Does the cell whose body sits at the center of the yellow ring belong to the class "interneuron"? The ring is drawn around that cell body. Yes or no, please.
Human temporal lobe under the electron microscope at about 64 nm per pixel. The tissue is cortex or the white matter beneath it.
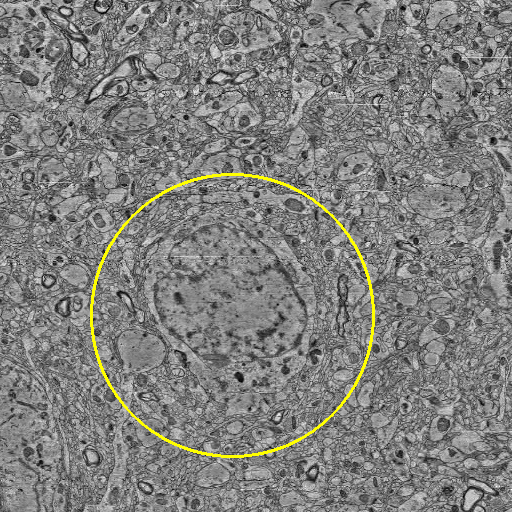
Yes, it belongs to that class.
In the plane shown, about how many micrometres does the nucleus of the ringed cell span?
In this plane, the nucleus of the cell at the centre of the ring measures about 10 by 8 micrometres.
